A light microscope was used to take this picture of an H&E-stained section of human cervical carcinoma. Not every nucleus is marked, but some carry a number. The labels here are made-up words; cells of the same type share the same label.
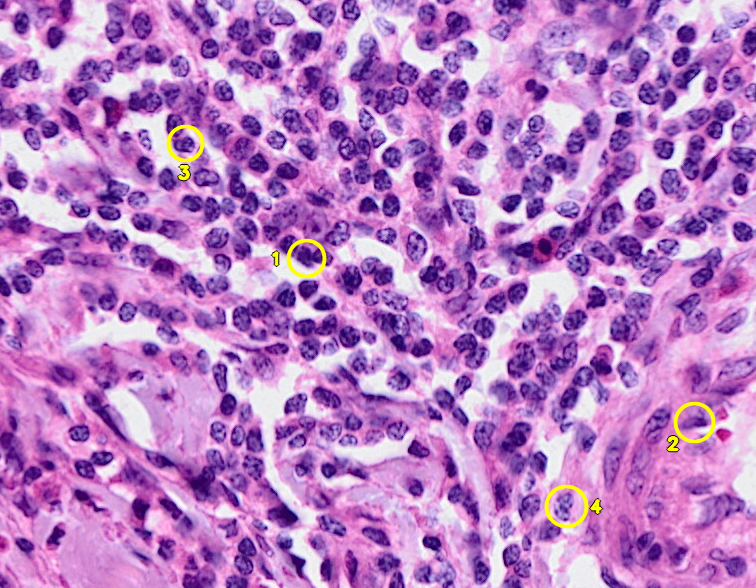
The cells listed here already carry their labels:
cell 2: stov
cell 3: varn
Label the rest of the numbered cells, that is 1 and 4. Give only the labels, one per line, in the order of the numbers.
varn
varn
